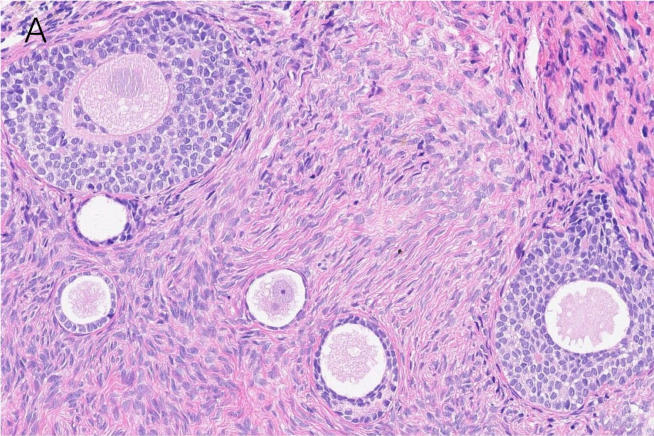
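Ovarian tissue with follicles set in a dense, cellular stroma of spindle-shaped cells with elongated dark nuclei. Smaller follicles with a single layer of flattened to cuboidal cells around a pale oocyte lie scattered between them.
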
